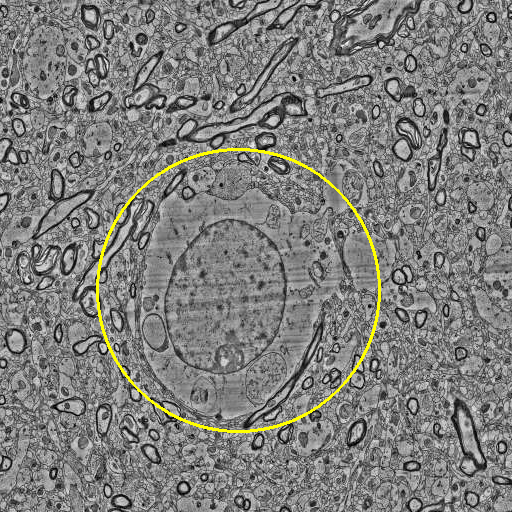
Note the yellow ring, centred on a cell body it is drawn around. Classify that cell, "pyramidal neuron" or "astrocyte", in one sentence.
The cell the ring is centred on is an astrocyte.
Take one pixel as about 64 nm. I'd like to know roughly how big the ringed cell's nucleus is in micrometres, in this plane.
The nucleus of the ringed cell is approximately 10 by 8 micrometres in this plane.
